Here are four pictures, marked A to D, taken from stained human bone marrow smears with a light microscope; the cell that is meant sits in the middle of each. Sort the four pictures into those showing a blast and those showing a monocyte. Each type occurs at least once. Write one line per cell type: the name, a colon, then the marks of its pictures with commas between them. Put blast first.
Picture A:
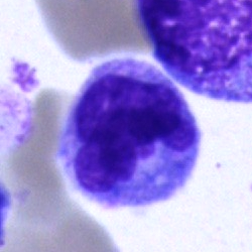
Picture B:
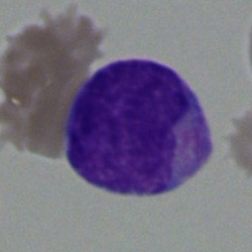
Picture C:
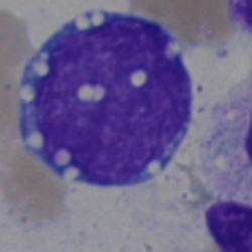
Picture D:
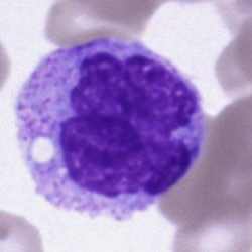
blast: B, C
monocyte: A, D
